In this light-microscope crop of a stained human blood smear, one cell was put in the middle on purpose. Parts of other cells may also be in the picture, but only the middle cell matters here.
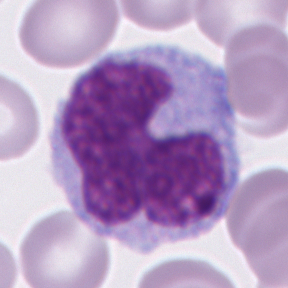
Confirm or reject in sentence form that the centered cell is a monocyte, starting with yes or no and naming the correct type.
Yes, the cell at the centre of this crop is identified as a monocyte.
